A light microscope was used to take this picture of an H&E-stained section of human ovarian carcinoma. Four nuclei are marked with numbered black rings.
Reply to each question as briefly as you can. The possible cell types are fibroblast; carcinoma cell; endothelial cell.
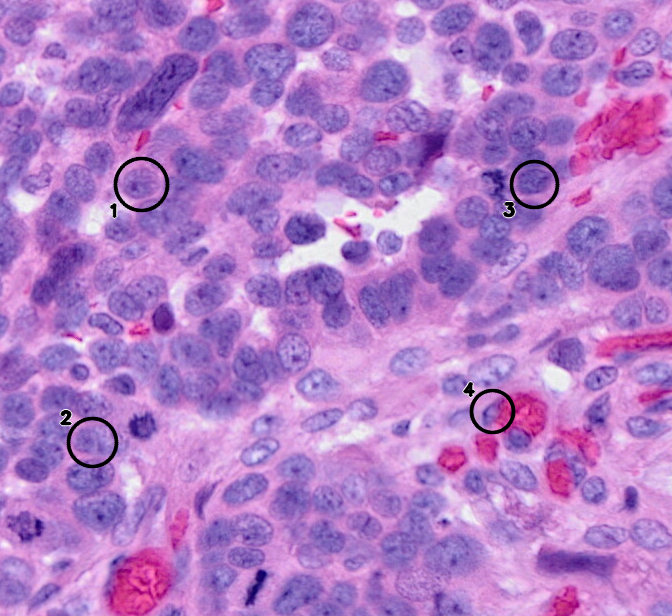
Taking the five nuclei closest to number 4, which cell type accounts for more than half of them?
fibroblast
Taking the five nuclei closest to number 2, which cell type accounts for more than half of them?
carcinoma cell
